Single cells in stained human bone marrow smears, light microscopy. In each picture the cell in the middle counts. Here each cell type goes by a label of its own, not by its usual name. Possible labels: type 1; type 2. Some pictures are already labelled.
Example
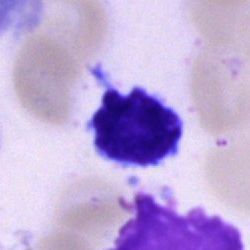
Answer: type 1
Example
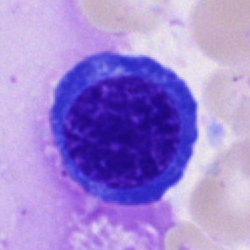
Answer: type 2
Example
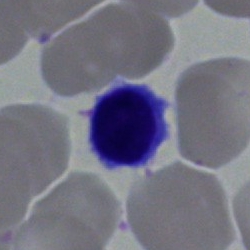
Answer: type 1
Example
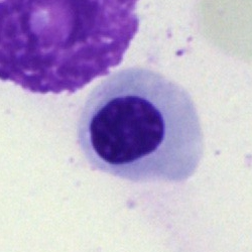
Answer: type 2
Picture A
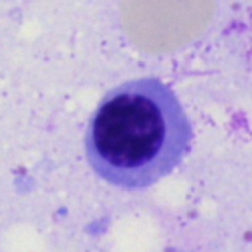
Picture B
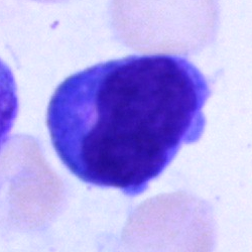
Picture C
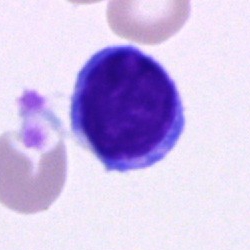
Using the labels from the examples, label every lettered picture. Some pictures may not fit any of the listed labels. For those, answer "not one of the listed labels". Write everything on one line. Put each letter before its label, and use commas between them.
A type 2, B not one of the listed labels, C type 1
